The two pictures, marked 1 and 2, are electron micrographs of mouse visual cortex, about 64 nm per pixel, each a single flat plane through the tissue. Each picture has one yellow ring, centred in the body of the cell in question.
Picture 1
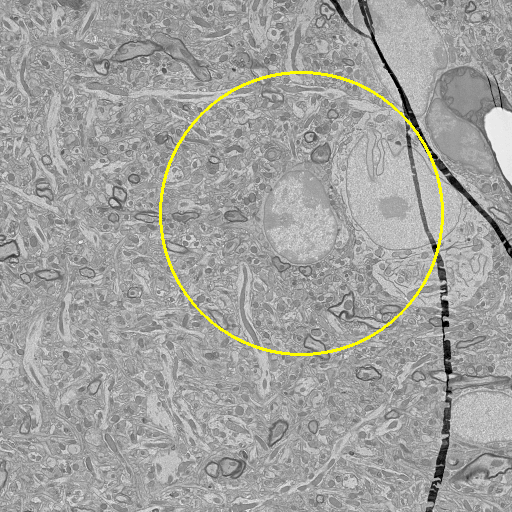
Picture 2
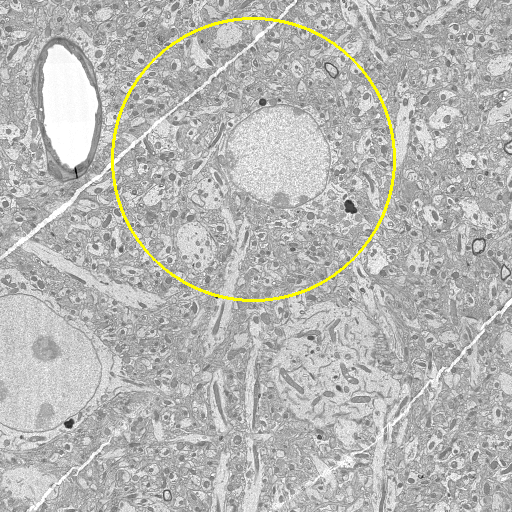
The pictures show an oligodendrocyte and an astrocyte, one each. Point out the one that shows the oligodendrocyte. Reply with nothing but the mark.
1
